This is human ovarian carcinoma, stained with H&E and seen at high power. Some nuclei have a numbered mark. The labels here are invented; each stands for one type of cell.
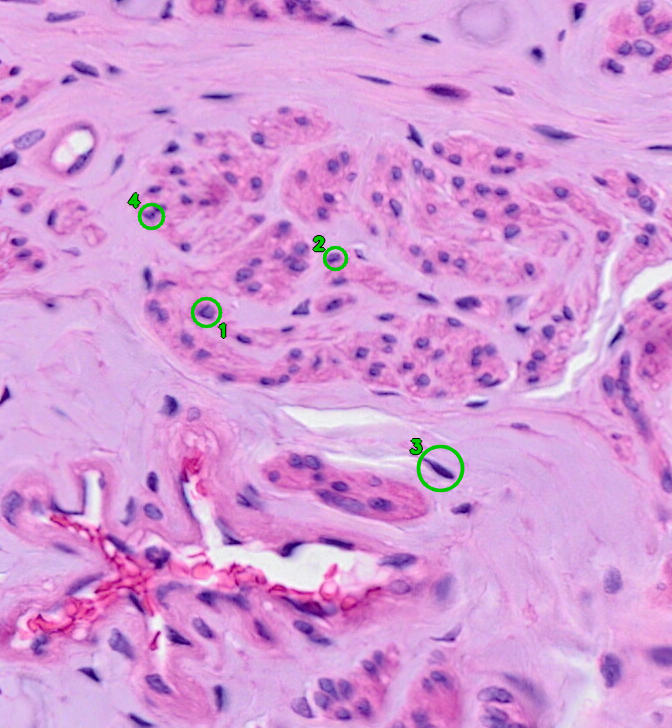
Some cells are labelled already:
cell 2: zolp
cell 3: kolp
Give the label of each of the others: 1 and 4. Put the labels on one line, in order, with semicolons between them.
zolp; zolp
